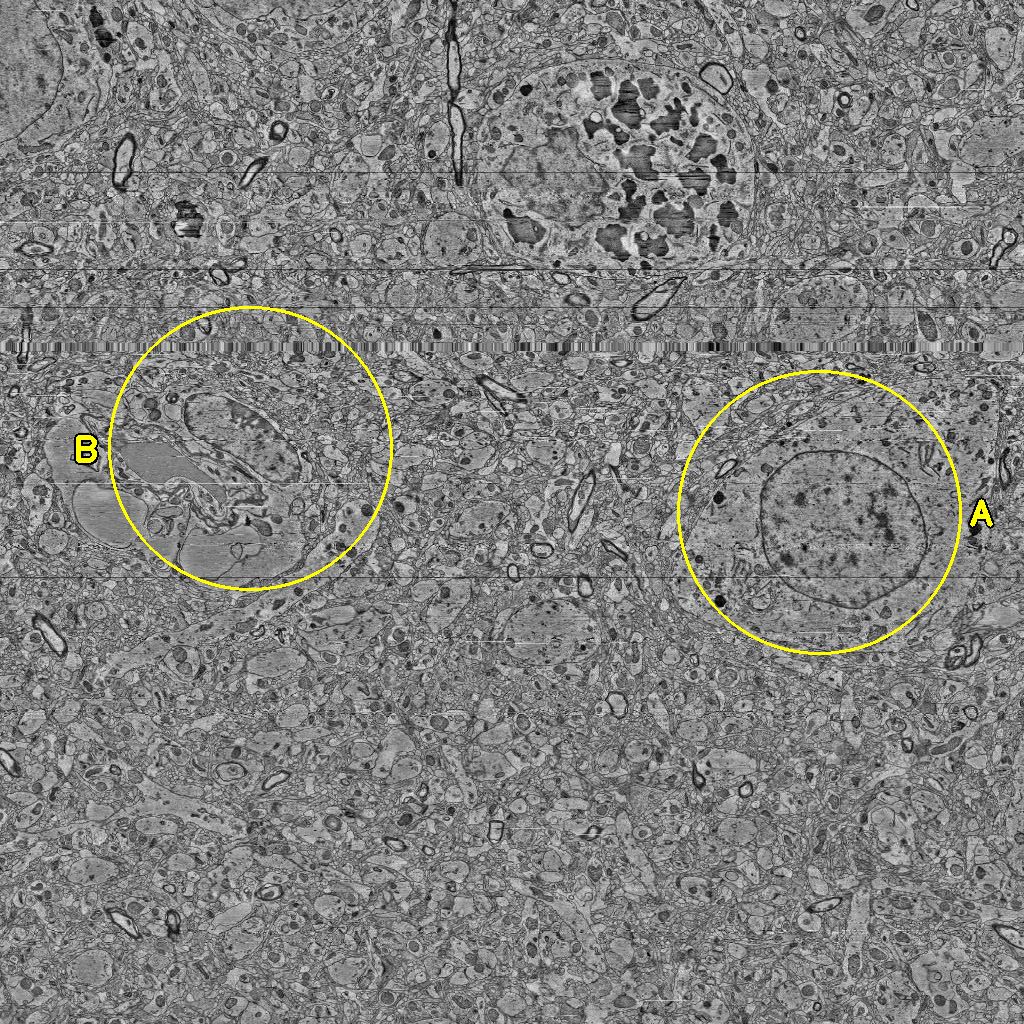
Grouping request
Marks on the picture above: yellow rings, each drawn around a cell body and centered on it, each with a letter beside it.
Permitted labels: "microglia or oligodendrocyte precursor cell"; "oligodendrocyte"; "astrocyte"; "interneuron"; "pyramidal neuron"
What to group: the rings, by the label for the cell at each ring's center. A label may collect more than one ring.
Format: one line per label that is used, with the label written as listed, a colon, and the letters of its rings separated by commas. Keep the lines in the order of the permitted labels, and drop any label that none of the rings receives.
microglia or oligodendrocyte precursor cell: B
pyramidal neuron: A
